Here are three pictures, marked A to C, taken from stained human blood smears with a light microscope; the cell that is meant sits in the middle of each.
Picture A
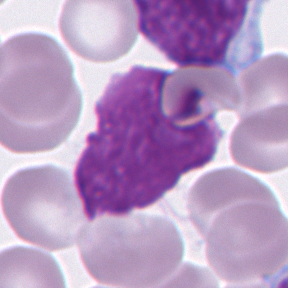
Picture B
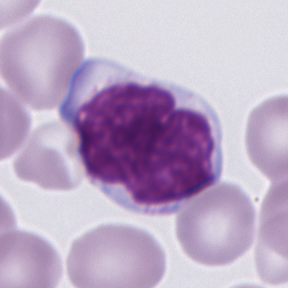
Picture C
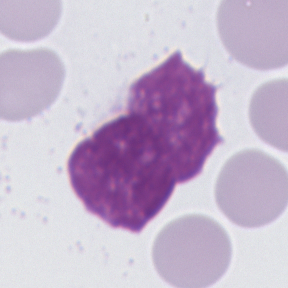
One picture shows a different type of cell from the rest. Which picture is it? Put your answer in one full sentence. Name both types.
All pictures except B show smudge cells; picture B shows a large granular lymphocyte.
